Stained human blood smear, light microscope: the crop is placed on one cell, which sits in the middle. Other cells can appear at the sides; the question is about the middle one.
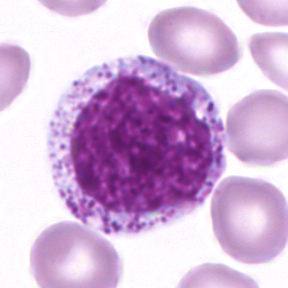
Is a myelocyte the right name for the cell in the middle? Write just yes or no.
yes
